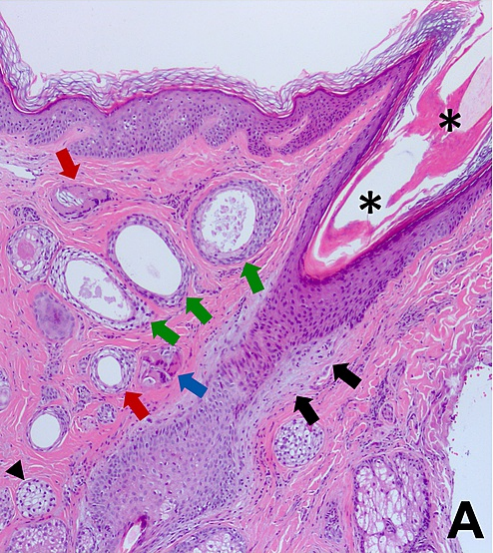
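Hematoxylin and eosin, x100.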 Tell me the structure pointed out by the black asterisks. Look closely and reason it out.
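Dilated hair follicle infundibulum. A widened follicular opening continuous with the surface epidermis. Its lumen holds pink layered keratin.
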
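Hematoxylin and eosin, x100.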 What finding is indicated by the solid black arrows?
Perifollicular fibrosis.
